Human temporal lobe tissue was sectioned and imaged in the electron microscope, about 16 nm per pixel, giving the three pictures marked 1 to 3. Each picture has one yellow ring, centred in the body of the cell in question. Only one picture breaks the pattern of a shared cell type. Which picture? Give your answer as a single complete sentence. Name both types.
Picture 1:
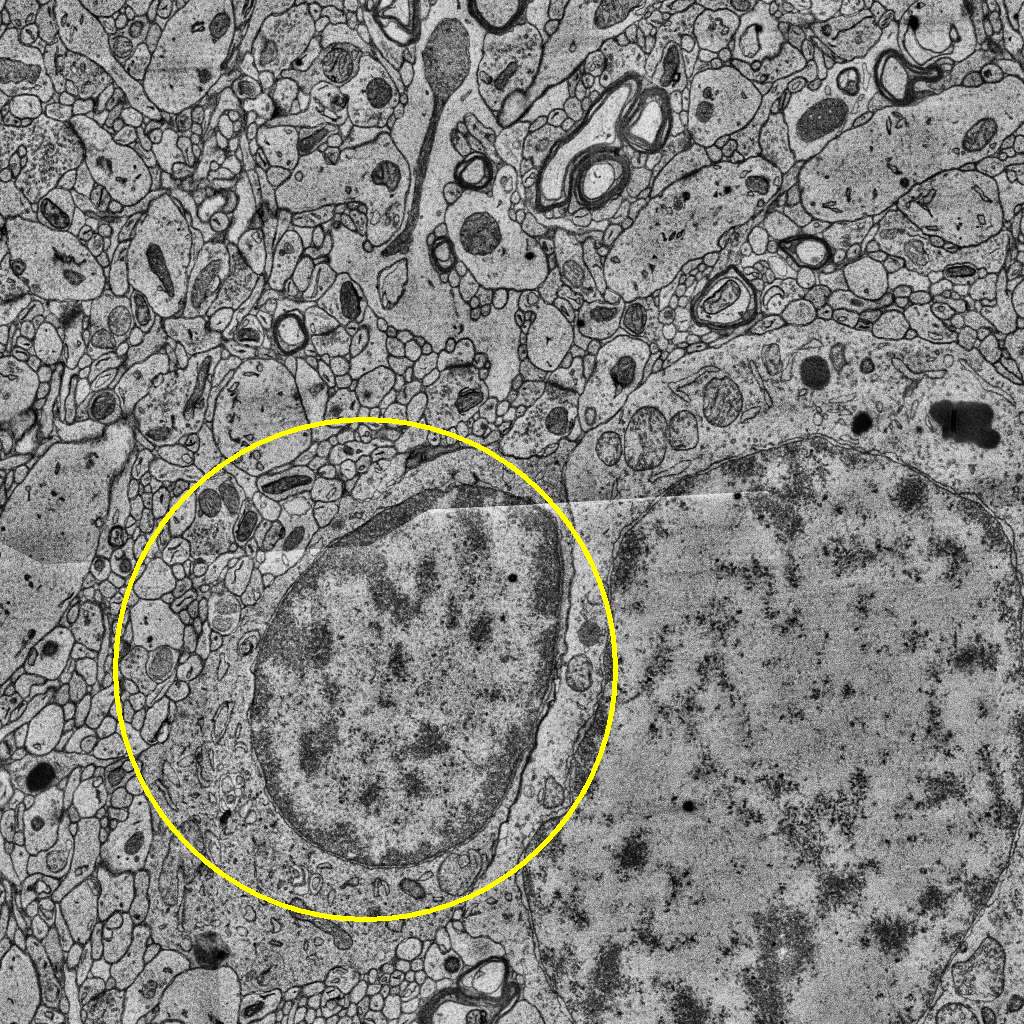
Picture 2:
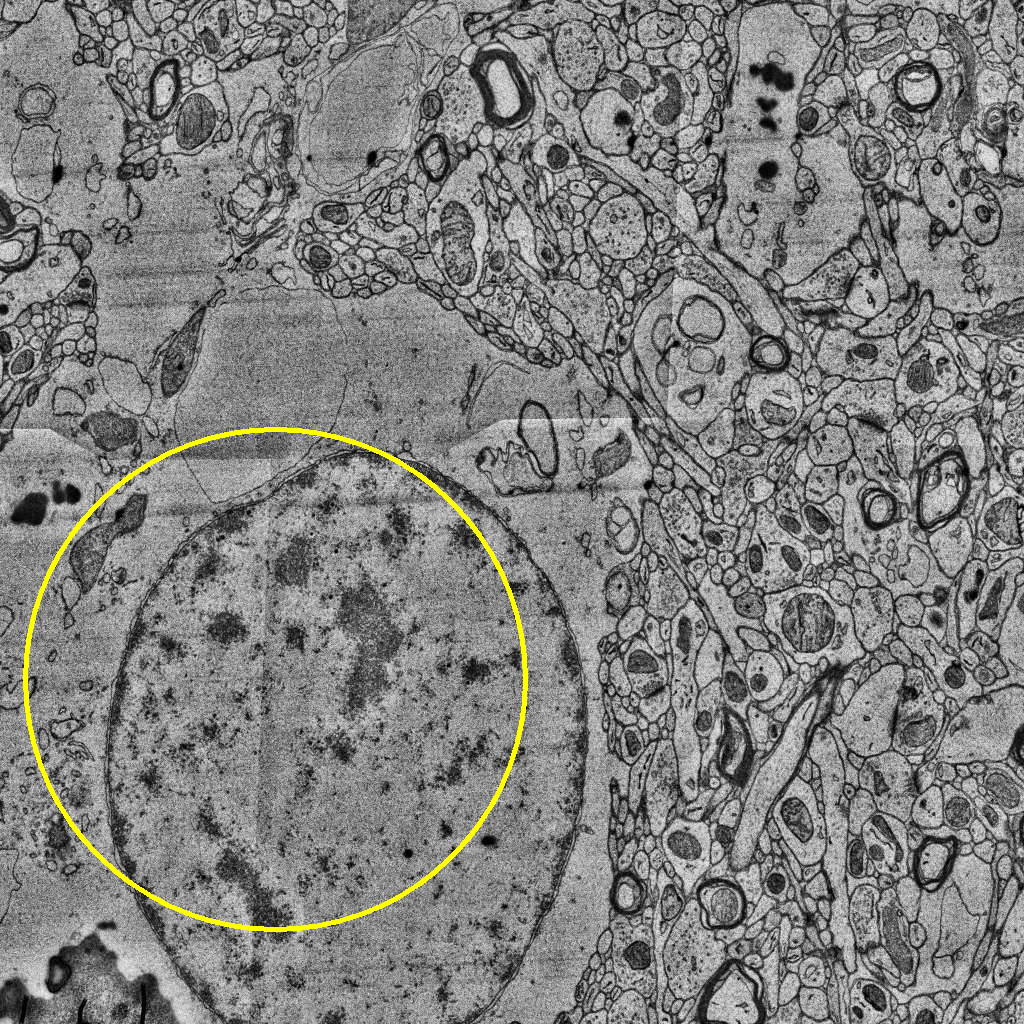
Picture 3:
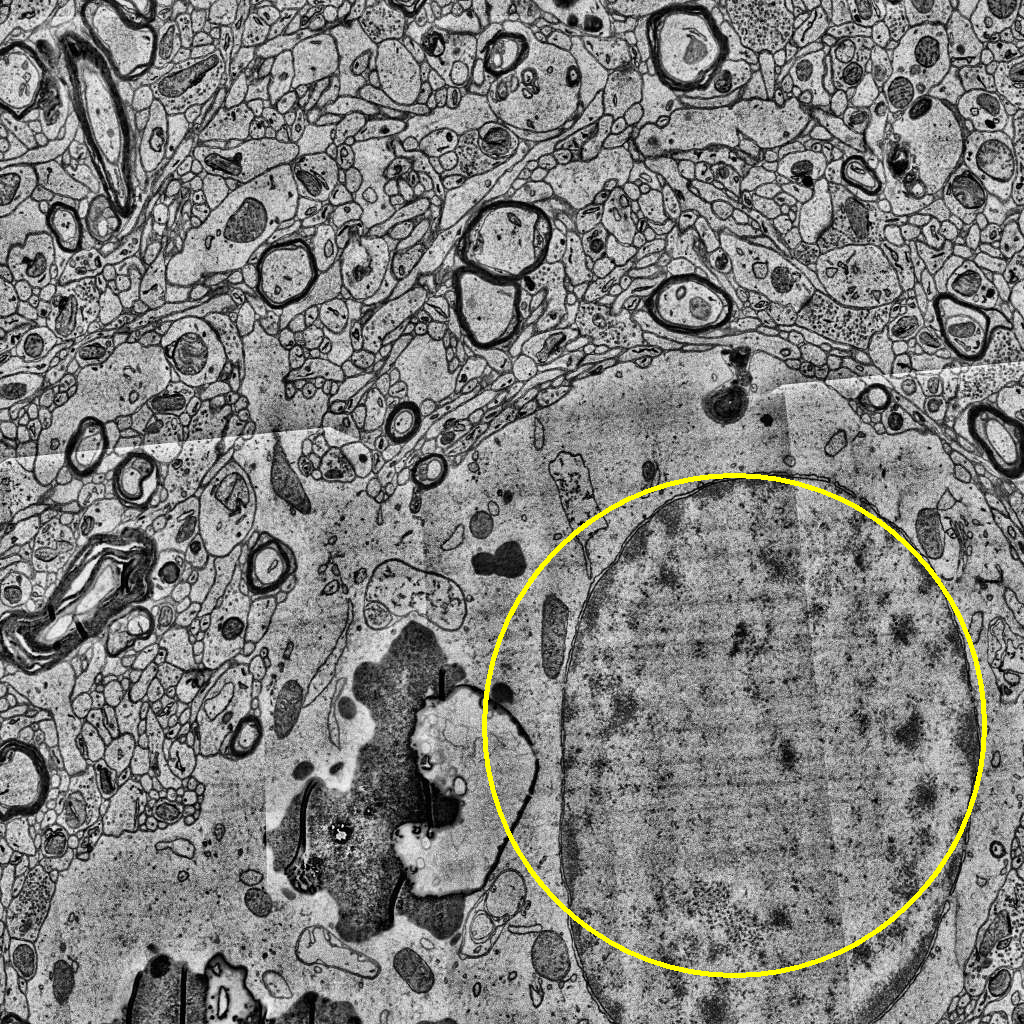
Picture 1 differs, because its cell is an oligodendrocyte and the rest are astrocytes.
